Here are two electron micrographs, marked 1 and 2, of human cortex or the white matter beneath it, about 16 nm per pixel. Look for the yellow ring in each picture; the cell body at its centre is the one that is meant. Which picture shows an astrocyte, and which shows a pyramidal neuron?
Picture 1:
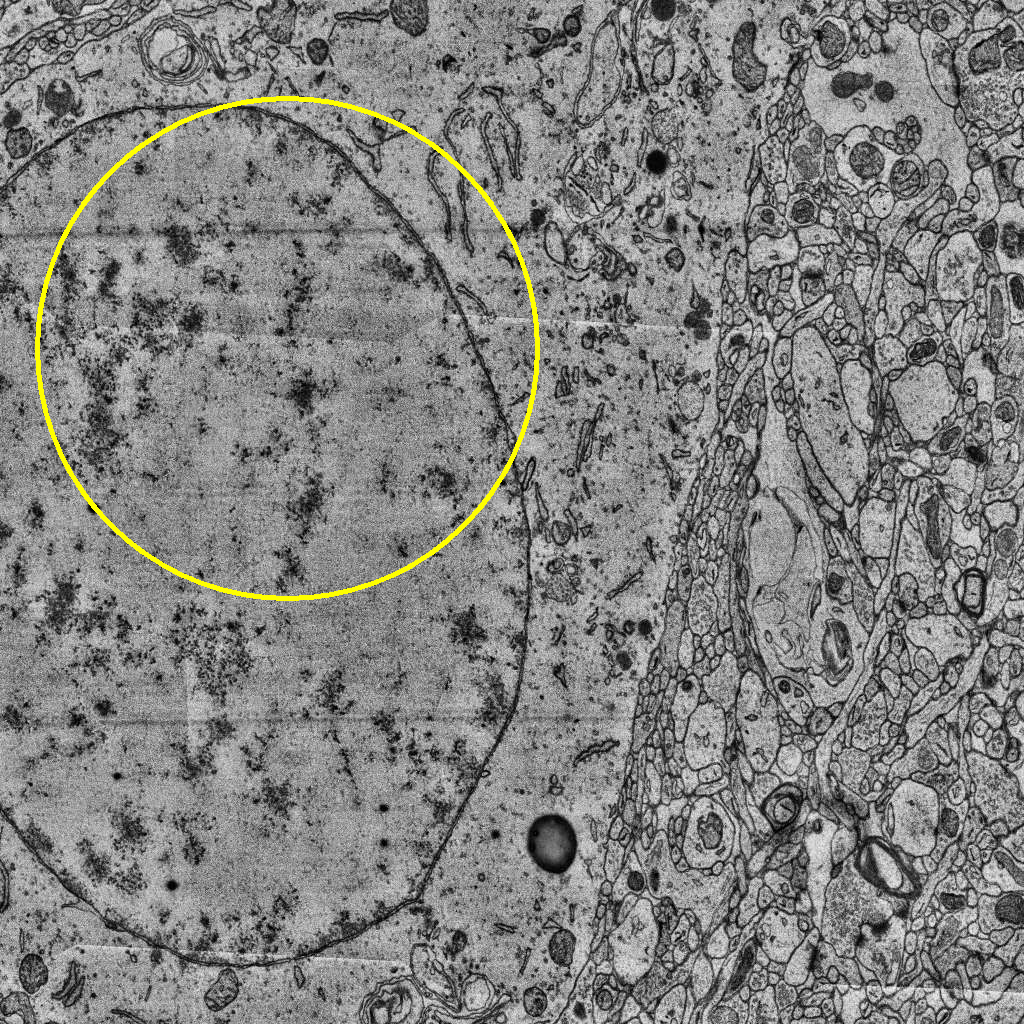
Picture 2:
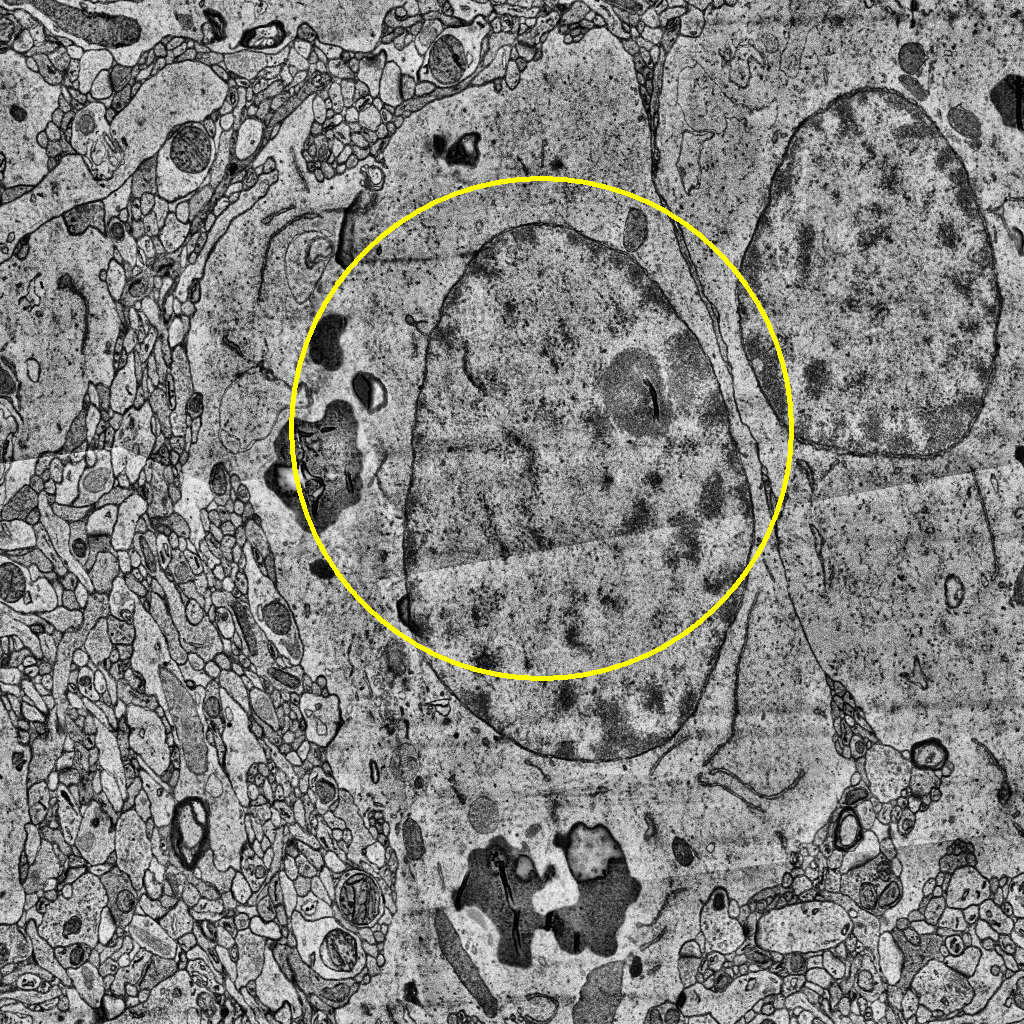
The cell in picture 1 is a pyramidal neuron, and the one in picture 2 is an astrocyte.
